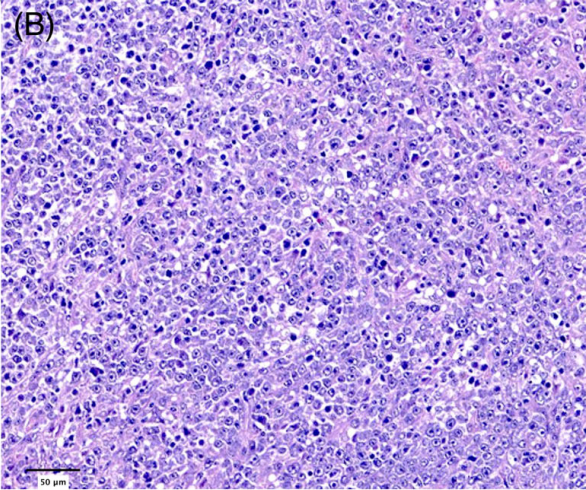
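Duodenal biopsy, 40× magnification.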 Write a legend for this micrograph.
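Diffuse sheet of large lymphocytes filling the field with no residual normal architecture. The cells are round and discrete, with large round to irregular nuclei of varying shape, vesicular chromatin and often one or more distinct nucleoli. Scattered smaller, densely dark nuclei lie among the large cells.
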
